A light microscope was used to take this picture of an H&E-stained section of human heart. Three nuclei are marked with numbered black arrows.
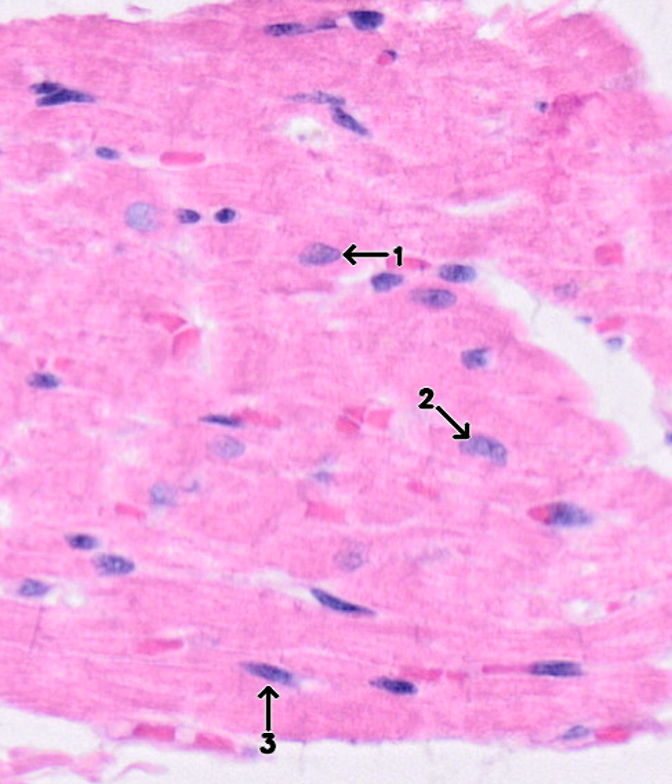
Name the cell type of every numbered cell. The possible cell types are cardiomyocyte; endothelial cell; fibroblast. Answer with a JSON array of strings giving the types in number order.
["cardiomyocyte", "cardiomyocyte", "endothelial cell"]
